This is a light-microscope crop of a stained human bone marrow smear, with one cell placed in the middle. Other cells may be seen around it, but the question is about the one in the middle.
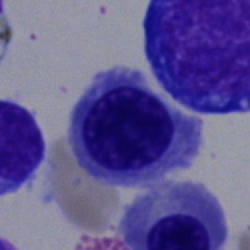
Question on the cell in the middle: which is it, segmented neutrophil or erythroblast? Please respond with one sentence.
Where the crop is centred, there is an erythroblast.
